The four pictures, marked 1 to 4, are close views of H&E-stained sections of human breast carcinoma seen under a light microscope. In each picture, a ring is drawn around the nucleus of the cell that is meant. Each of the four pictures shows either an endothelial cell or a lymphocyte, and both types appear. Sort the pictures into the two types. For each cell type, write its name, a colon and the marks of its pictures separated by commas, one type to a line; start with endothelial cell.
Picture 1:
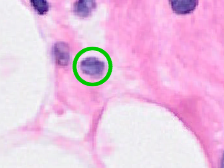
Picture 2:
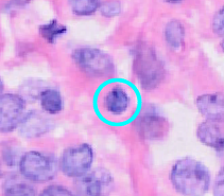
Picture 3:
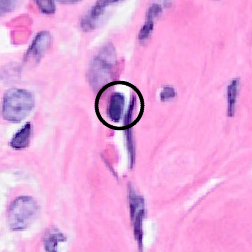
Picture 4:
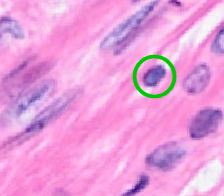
endothelial cell: 3
lymphocyte: 1, 2, 4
